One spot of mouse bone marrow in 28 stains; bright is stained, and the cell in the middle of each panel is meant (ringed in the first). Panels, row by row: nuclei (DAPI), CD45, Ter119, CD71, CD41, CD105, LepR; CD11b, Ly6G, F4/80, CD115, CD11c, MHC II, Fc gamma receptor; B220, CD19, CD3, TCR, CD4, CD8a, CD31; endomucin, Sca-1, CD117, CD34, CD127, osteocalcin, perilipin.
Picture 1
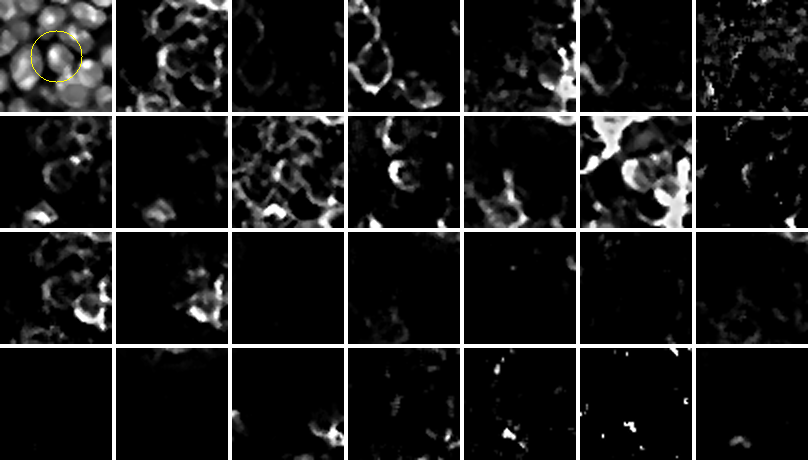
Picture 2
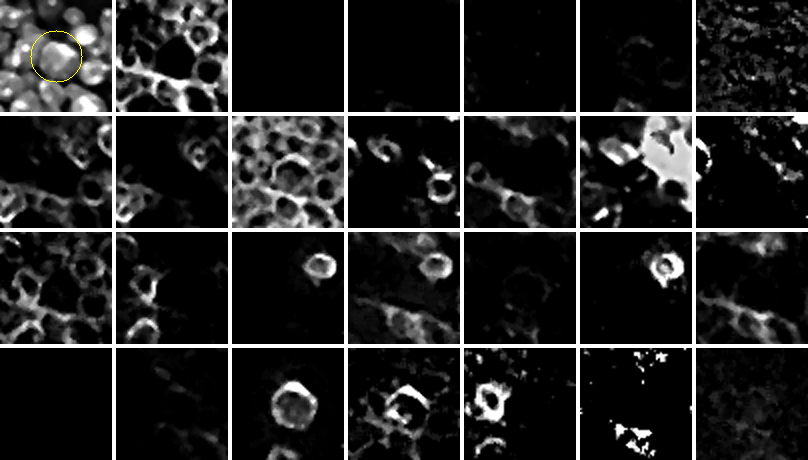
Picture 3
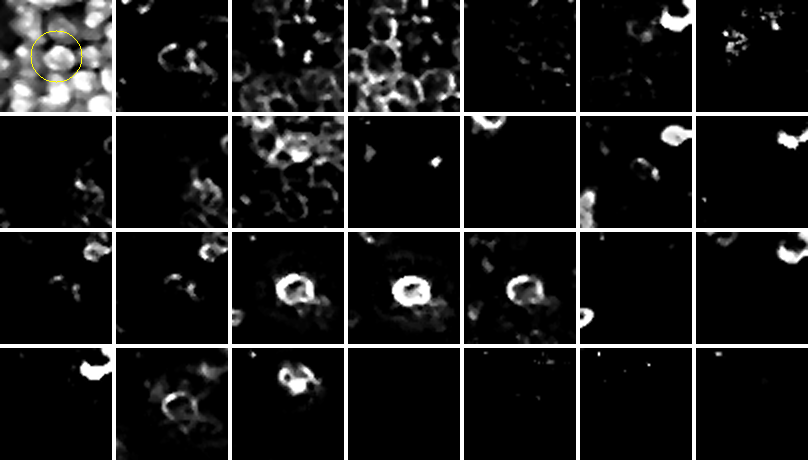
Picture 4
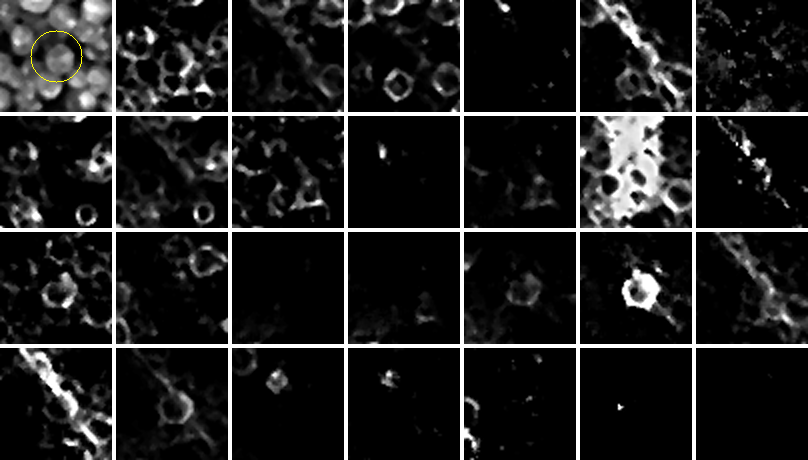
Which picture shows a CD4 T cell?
Picture 3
